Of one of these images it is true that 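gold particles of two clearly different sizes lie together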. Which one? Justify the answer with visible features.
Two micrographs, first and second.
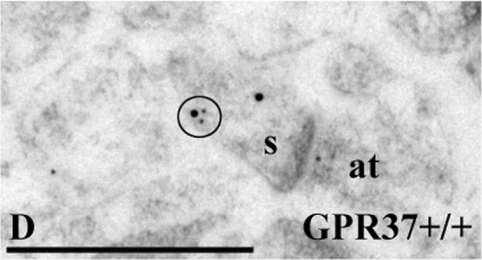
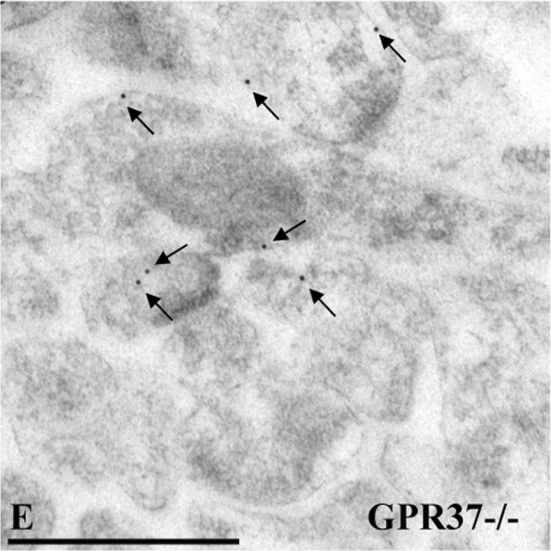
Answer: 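Second image: only small gold particles of uniform size are seen. First image: larger gold particles sit beside small ones. So: the first image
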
